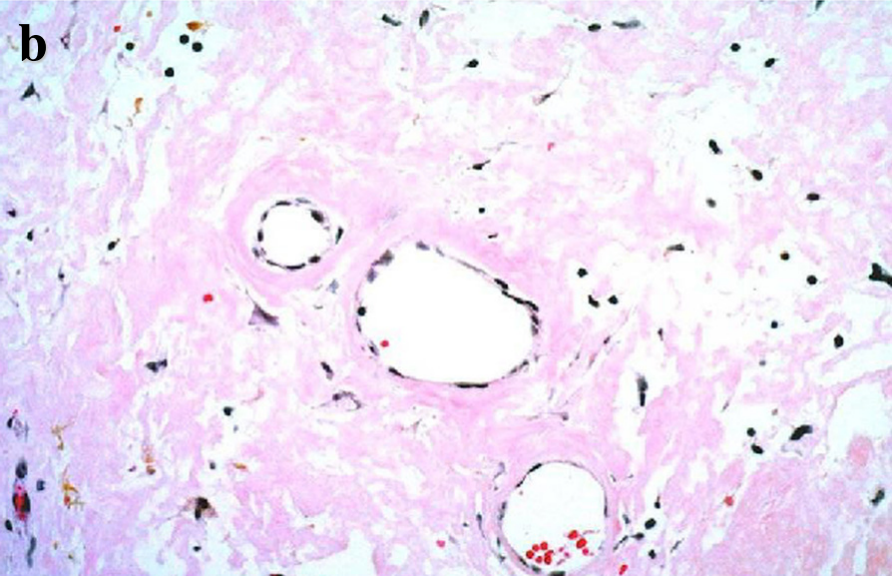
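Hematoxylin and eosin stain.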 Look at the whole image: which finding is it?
Extracellular amorphous eosinophilic deposits.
